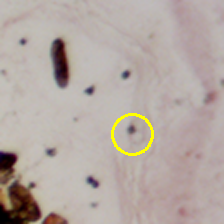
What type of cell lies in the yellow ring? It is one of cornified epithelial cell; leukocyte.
The ringed cell is a leukocyte.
